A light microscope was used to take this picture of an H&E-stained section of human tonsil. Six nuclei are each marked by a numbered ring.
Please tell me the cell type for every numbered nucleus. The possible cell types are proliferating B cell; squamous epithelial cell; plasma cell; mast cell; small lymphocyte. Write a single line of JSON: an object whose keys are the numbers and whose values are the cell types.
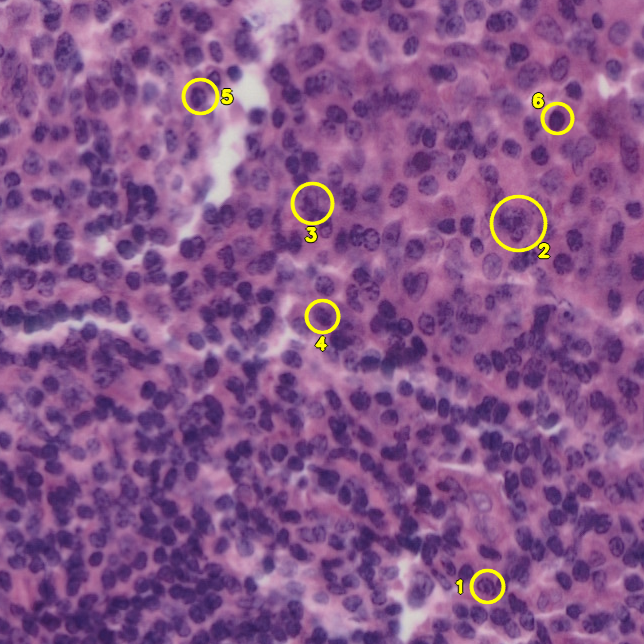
{"1": "plasma cell", "2": "squamous epithelial cell", "3": "squamous epithelial cell", "4": "plasma cell", "5": "plasma cell", "6": "plasma cell"}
